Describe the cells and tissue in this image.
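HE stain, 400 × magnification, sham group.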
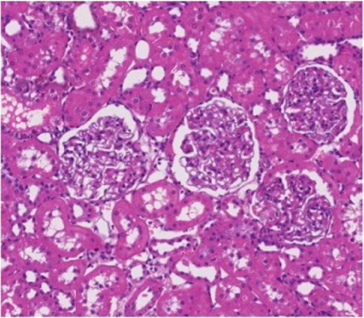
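This is a section of kidney cortex stained pink and purple, with several glomeruli lying among closely packed tubules. Each glomerulus is a rounded tuft of capillary loops with many dark purple nuclei. A thin clear space separates each tuft from the thin capsule that surrounds it. Around the glomeruli, the tubules are cut in cross and oblique section. They are lined by cells with pink cytoplasm and round purple nuclei, and many tubules have small open lumens. The tubules sit close together, with little tissue between them.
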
